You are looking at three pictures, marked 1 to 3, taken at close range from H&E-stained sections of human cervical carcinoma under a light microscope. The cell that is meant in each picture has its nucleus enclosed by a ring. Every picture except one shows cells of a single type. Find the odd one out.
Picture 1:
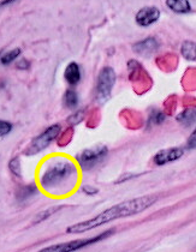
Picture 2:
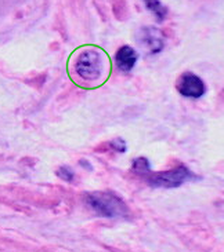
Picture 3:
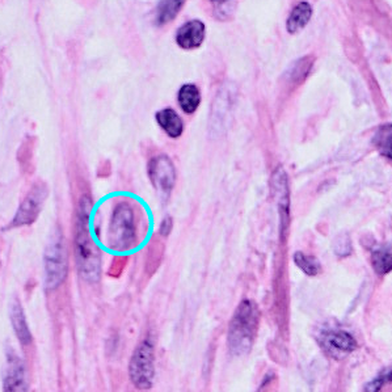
2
